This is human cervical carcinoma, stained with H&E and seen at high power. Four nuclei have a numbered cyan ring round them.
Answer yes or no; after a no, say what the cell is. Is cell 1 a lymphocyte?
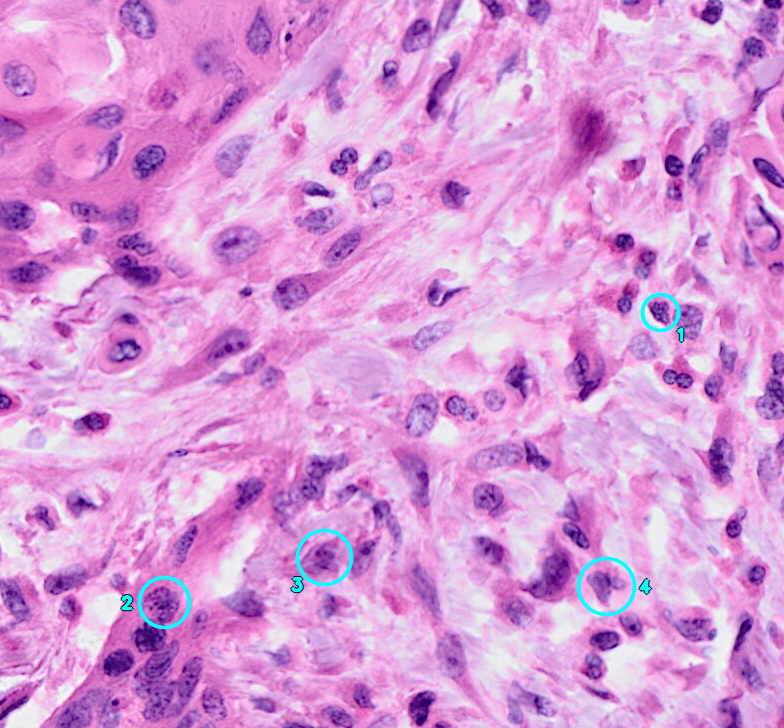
Yes.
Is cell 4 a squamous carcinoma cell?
No, it is a macrophage or monocyte.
